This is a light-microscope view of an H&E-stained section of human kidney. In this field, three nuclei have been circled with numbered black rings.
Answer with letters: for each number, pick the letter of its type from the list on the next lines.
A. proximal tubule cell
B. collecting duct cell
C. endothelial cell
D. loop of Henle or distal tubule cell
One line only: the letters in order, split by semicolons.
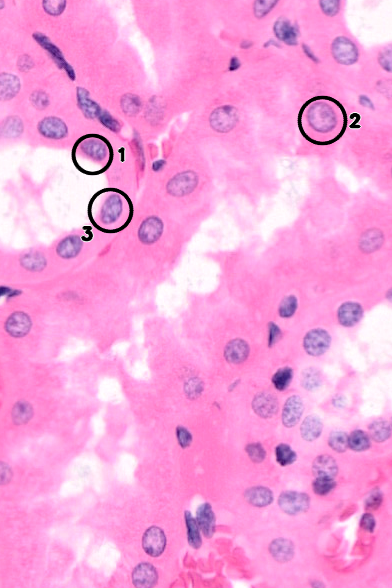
D; A; D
